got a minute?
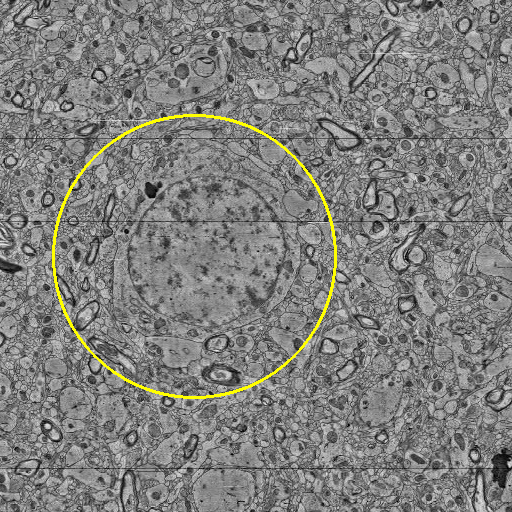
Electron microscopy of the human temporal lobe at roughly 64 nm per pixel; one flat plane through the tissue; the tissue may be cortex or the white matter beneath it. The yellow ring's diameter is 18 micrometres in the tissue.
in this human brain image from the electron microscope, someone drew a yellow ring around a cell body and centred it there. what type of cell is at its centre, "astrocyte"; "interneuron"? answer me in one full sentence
It's an interneuron at the middle of that yellow ring in the shot.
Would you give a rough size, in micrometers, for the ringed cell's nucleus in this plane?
In this plane, the nucleus of the cell at the centre of the ring is about 10 micrometres across.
